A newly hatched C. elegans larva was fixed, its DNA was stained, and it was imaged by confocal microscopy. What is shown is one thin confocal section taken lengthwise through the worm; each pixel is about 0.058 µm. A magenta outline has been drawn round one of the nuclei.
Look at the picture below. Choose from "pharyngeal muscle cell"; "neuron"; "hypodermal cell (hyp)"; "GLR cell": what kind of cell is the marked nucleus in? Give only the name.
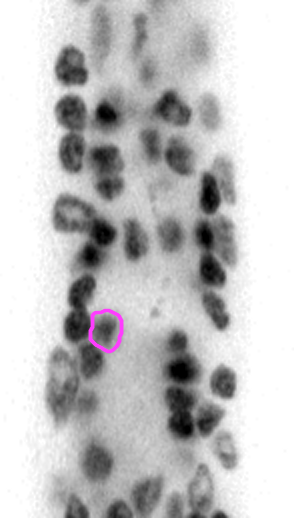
GLR cell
